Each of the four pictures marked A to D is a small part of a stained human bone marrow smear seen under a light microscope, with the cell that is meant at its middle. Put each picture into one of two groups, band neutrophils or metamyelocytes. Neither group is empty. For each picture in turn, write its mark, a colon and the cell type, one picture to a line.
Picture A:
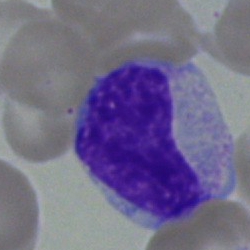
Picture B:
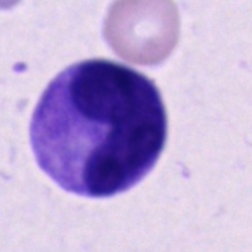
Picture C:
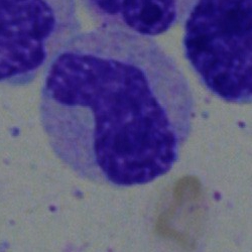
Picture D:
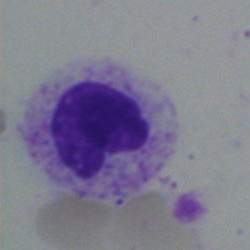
A: metamyelocyte
B: metamyelocyte
C: band neutrophil
D: metamyelocyte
